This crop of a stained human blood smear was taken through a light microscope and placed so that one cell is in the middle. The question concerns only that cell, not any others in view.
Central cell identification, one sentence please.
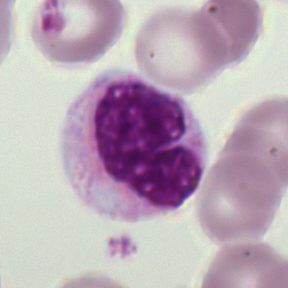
The cell in the exact centre of the crop is a band neutrophil.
